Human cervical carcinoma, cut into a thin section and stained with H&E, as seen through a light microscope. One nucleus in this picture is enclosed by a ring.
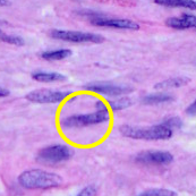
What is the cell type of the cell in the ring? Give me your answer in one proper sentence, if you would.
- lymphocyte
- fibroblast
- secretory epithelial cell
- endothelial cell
Placed in its cell category, the cell in the ring is a fibroblast.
